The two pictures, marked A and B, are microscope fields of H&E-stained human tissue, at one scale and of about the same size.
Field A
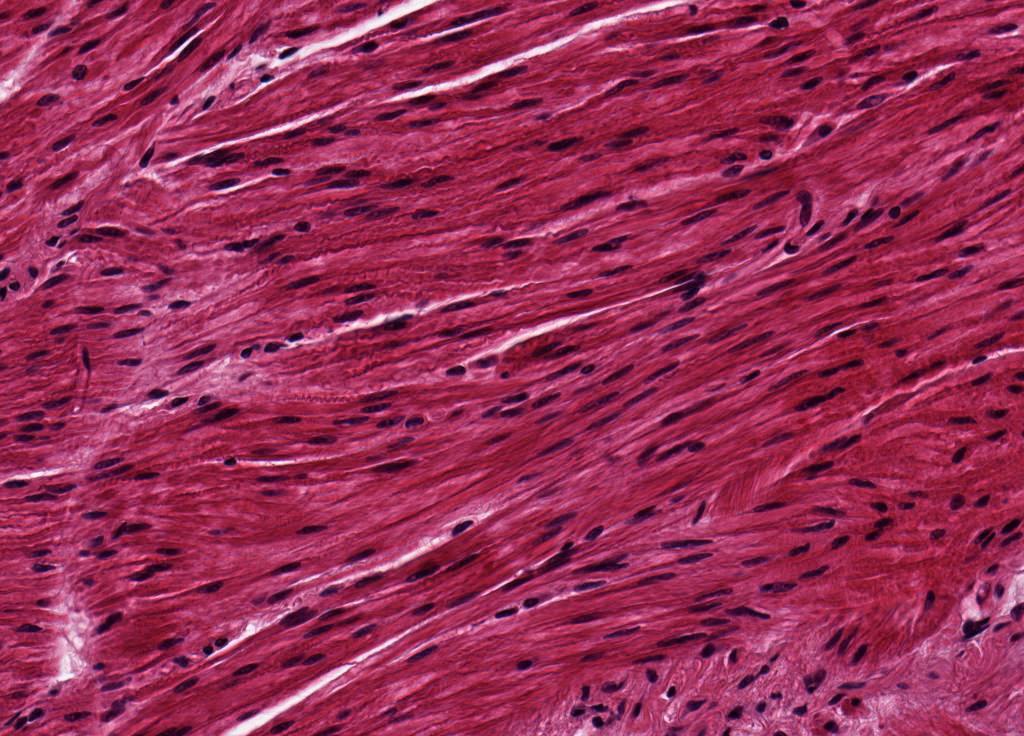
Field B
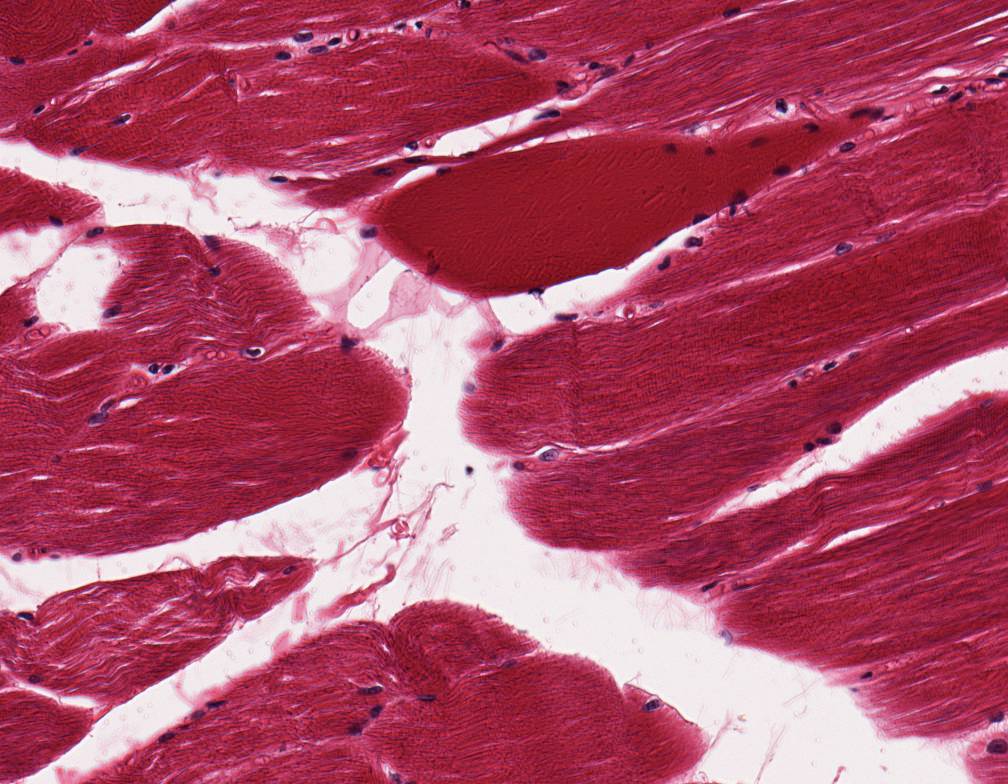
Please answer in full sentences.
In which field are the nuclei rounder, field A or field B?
The nuclei are rounder in field B.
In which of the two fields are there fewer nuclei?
There are fewer nuclei in field B.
